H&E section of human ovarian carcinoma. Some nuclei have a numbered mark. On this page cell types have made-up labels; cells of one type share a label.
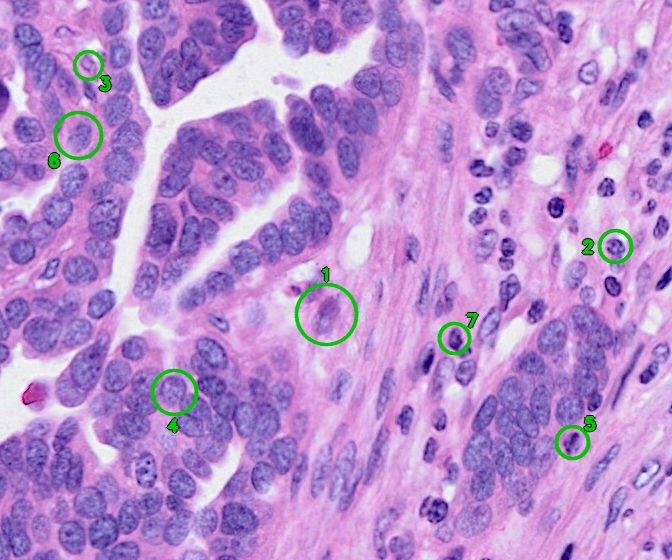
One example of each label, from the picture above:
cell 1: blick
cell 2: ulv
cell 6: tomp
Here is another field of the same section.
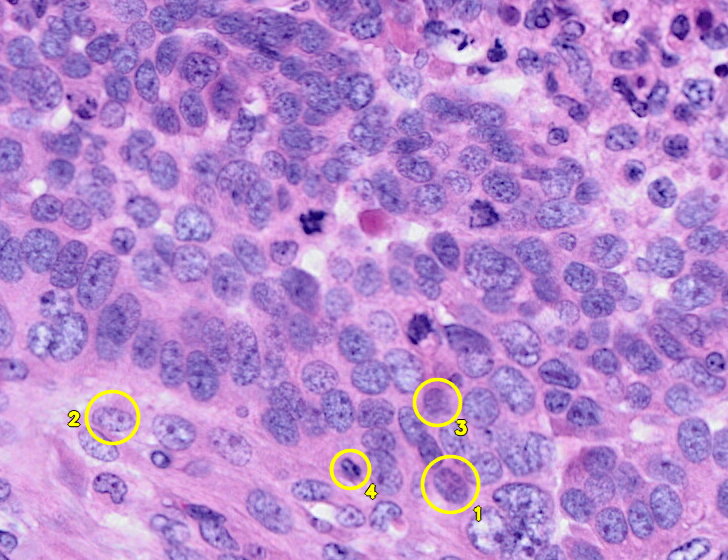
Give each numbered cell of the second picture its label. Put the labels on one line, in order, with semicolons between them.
tomp; blick; tomp; ulv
